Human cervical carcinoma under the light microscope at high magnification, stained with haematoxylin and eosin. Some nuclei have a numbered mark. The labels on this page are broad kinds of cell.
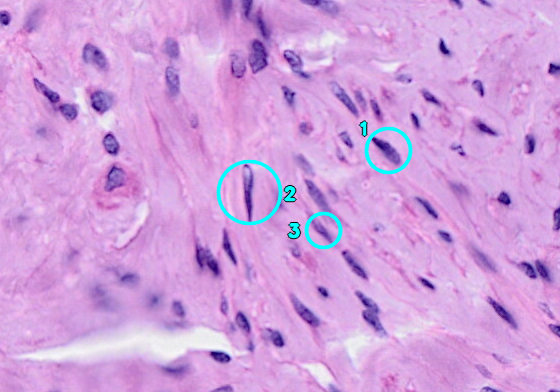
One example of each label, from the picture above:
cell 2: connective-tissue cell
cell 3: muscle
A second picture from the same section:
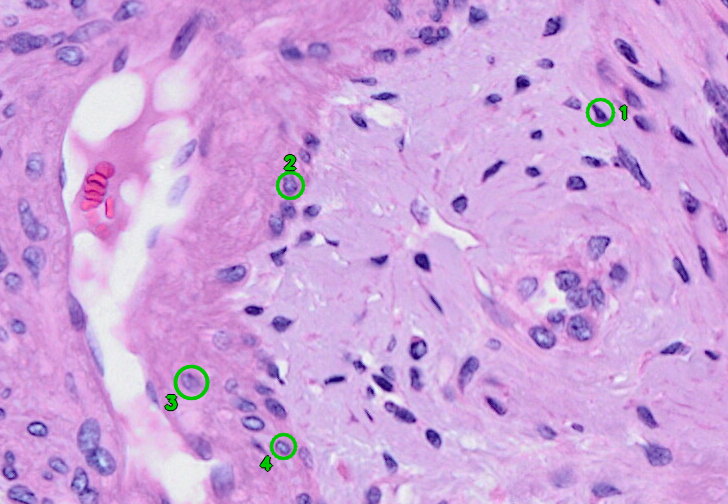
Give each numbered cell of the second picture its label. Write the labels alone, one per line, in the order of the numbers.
connective-tissue cell
muscle
muscle
muscle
